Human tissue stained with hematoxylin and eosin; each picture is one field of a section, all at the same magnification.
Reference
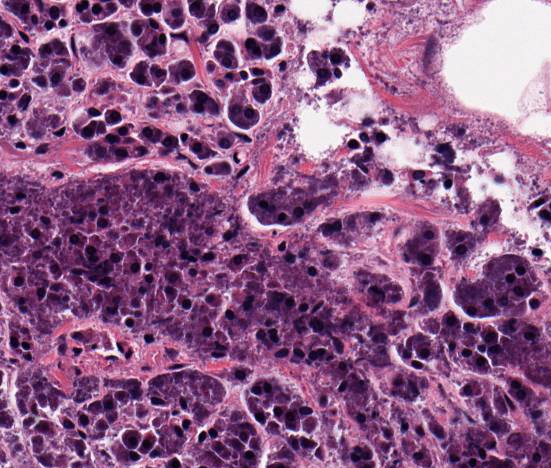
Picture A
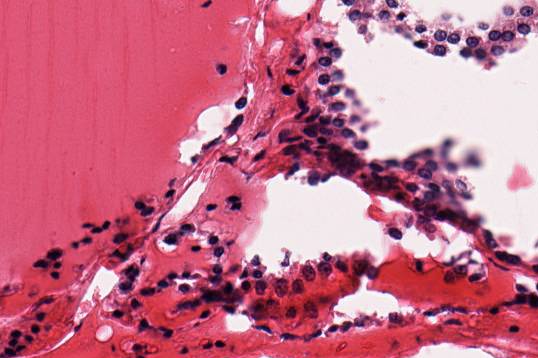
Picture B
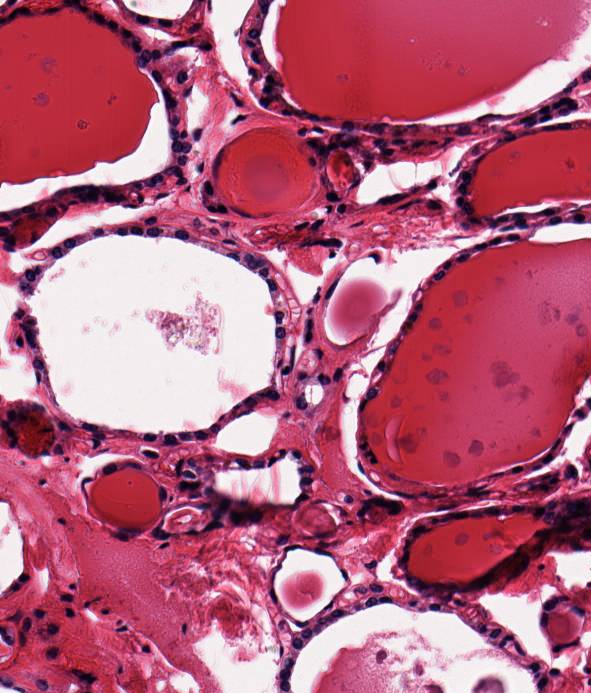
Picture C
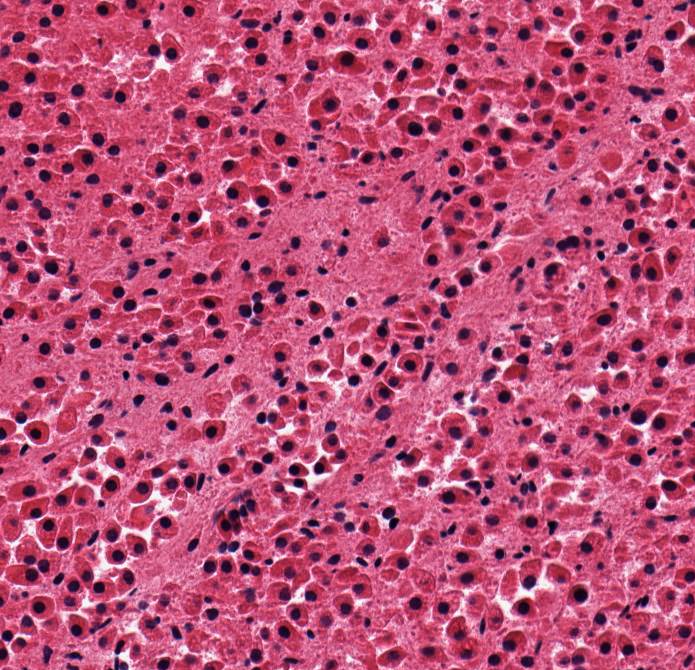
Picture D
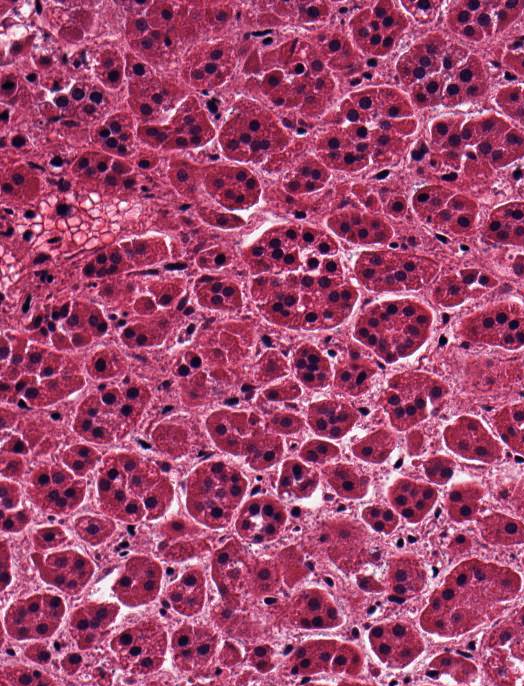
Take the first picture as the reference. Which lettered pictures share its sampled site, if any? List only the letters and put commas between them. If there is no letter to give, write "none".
none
